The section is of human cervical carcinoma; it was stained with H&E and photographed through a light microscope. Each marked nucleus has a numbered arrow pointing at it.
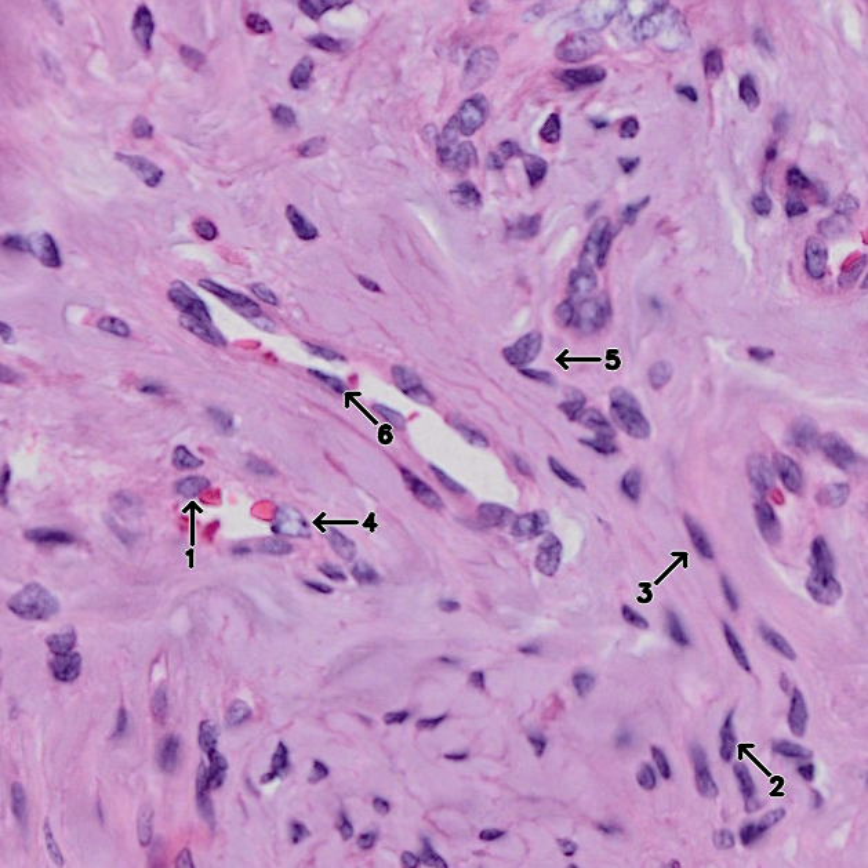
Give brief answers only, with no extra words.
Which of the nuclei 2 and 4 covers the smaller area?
2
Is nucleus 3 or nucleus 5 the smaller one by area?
3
